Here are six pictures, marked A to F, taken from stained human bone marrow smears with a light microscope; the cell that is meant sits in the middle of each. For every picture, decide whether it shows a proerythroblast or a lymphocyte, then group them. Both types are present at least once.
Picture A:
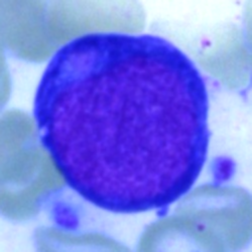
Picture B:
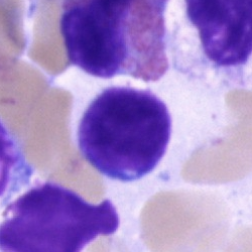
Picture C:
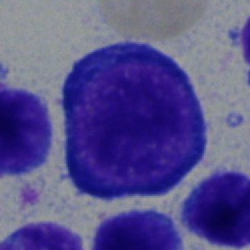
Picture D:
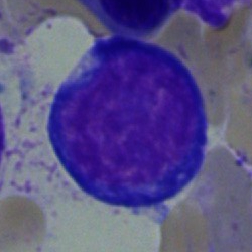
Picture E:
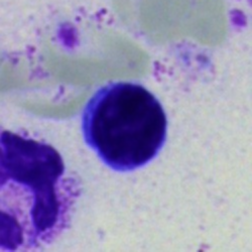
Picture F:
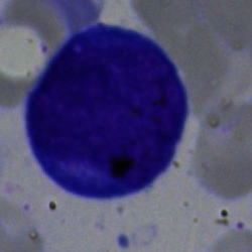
A: proerythroblast
B: lymphocyte
C: proerythroblast
D: proerythroblast
E: lymphocyte
F: proerythroblast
